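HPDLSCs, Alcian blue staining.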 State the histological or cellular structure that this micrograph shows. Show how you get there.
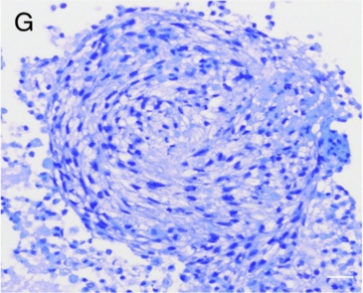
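A round compact mass of densely packed cells with blue nuclei. Cells at the periphery are arranged concentrically.
Answer: chondrogenic pellets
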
